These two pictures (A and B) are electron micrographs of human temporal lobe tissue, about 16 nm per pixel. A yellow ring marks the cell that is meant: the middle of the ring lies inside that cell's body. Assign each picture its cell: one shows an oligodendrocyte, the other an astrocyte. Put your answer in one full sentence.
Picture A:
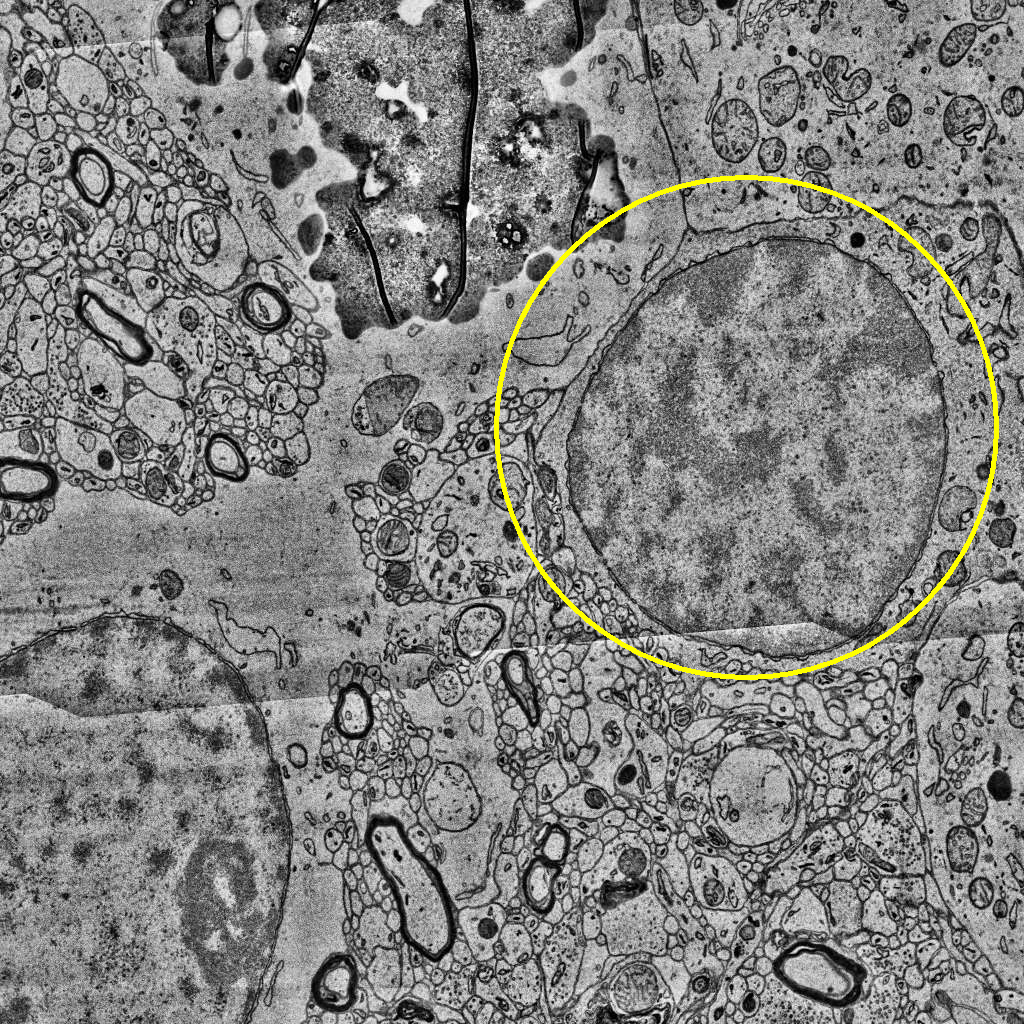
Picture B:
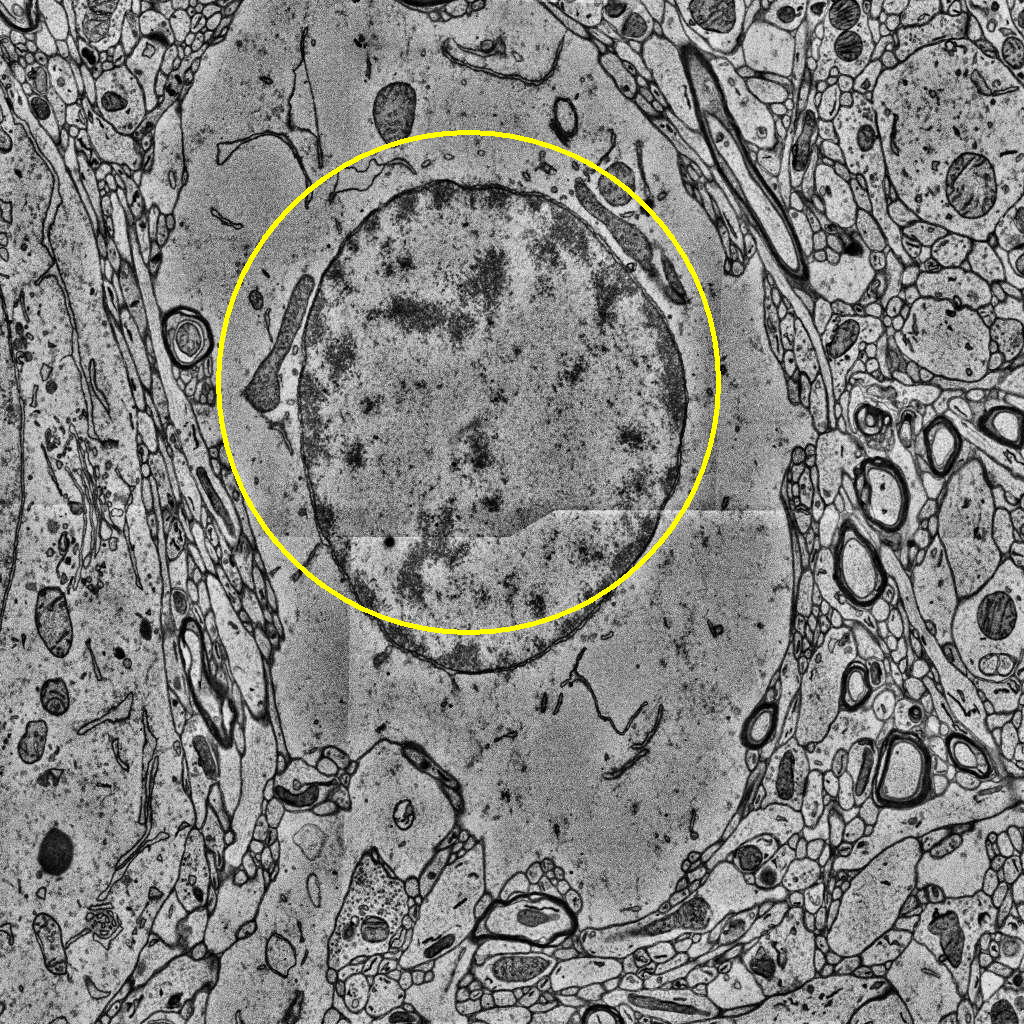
It is picture A that shows an oligodendrocyte, and picture B that shows an astrocyte.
